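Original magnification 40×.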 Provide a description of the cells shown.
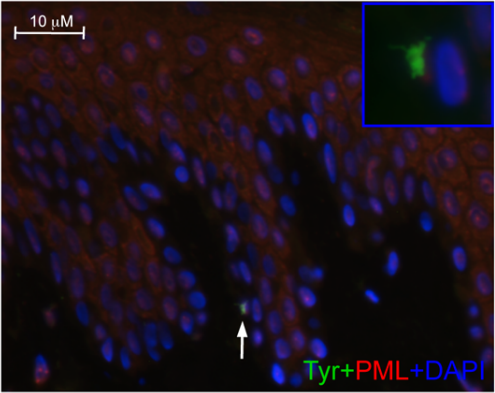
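Many oval blue nuclei are arranged in layers, with an undulating lower border where the epithelium meets darker, sparsely nucleated tissue. Diffuse red colour fills the cytoplasm of the epithelial cells and outlines them, and small red dots appear in some nuclei. The green cell is small and lies at the base of the epithelium among the lowest nuclei. The enlarged inset shows it as an irregular green body with short processes pressed against a neighbouring blue nucleus.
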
